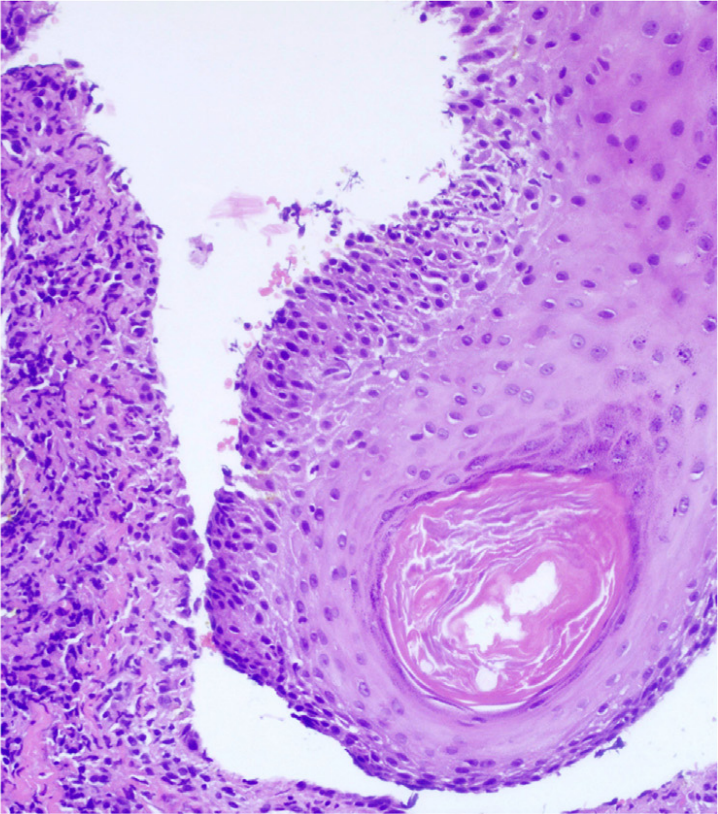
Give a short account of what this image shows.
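This is skin with squamous epithelium that includes a follicle, whose rounded wall of stratified keratinocytes surrounds concentric lamellae of pink keratin. The keratinocytes have pale pink cytoplasm and round nuclei, and along the edge of a cleft they are loosened and come apart from one another, some lying free in the space. To the left, across the cleft, lies a dense cellular infiltrate of small cells with dark round nuclei among pink stroma.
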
